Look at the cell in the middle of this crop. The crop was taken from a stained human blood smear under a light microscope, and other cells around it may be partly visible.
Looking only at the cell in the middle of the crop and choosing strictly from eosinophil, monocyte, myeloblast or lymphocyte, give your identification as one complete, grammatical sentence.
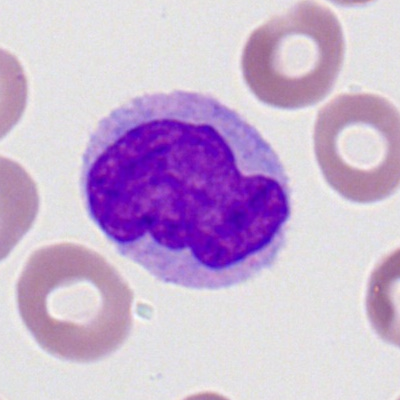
The cell positioned in the middle of the field is a monocyte.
